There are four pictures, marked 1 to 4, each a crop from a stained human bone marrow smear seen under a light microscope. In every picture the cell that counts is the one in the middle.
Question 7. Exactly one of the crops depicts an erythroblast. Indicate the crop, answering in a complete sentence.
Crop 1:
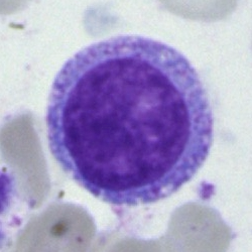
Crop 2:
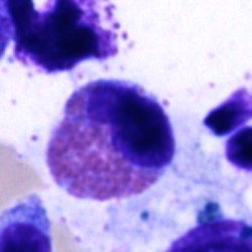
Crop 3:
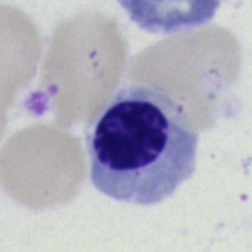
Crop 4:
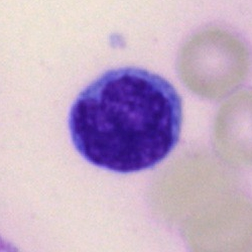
Among these crops, crop 3 holds an erythroblast.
